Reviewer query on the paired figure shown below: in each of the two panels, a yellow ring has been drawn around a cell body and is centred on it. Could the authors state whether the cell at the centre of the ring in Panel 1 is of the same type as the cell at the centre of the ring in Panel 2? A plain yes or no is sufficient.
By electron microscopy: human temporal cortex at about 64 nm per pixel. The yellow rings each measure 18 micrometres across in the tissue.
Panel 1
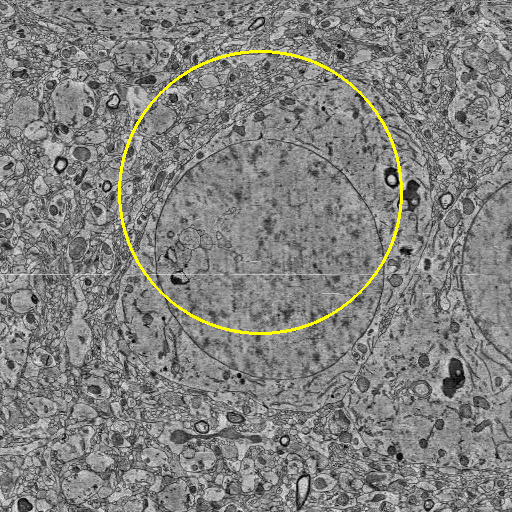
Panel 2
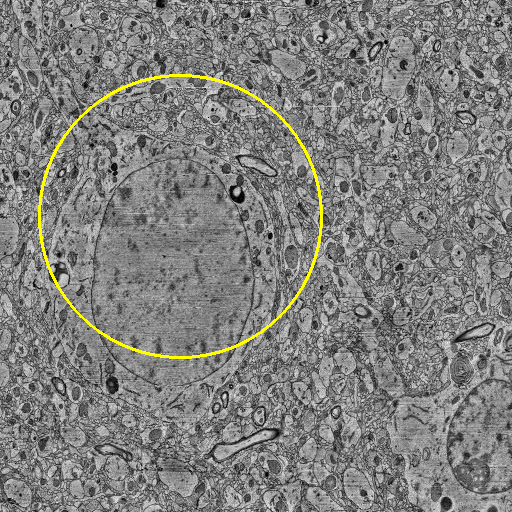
yes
